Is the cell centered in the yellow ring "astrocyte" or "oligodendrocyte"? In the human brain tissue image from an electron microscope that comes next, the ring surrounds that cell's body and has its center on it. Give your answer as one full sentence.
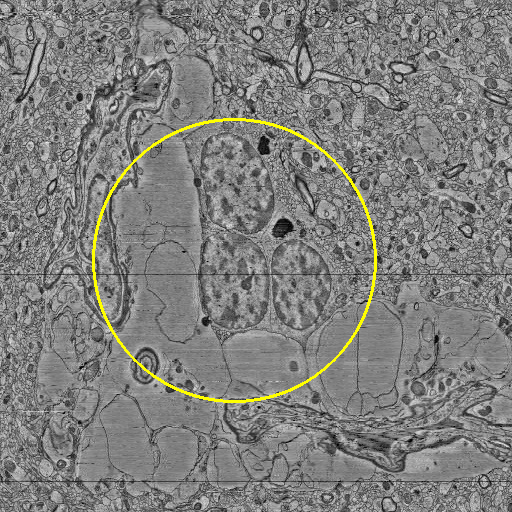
The cell at the center of the yellow ring is an oligodendrocyte in the micrograph.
